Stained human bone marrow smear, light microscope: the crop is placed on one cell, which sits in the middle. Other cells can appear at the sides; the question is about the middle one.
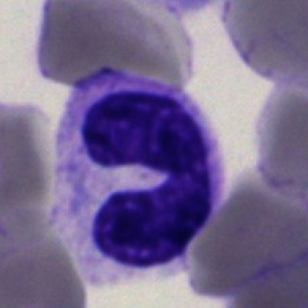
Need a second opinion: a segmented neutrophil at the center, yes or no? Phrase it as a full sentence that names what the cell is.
No, it is not a segmented neutrophil that lies in the middle but a band neutrophil.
